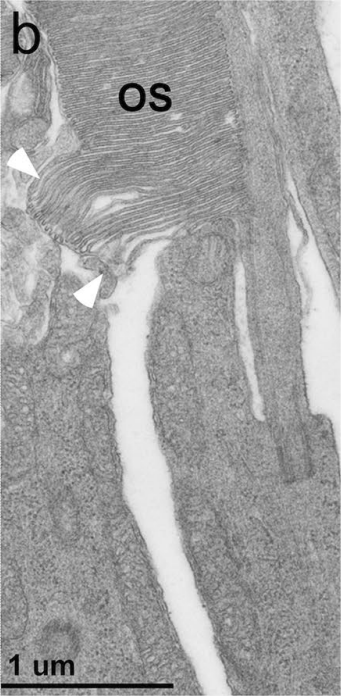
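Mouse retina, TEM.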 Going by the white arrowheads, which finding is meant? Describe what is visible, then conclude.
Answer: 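Overgrow of disks. At the left edge the stacked membrane discs bend downward and sweep outward. The bent discs extend beyond the main body of the stack.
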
